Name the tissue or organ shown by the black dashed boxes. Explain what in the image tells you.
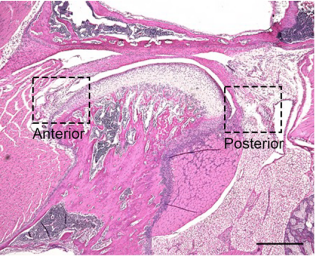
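Synovial tissue. Two dashed boxes sit at the front and back edges of the rounded condylar head. The boxed areas hold loose soft tissue lining the joint space, not bone or cartilage.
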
